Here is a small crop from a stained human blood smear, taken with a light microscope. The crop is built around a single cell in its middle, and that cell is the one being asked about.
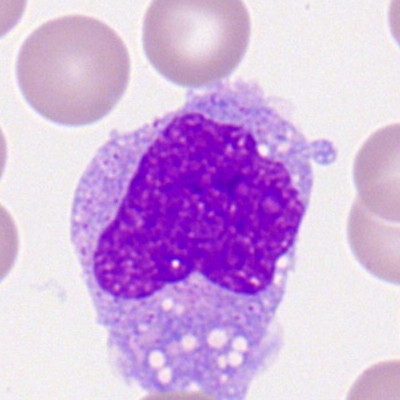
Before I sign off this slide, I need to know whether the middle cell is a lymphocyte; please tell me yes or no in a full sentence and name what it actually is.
No, the correct answer for the middle cell is a monocyte, not a lymphocyte.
